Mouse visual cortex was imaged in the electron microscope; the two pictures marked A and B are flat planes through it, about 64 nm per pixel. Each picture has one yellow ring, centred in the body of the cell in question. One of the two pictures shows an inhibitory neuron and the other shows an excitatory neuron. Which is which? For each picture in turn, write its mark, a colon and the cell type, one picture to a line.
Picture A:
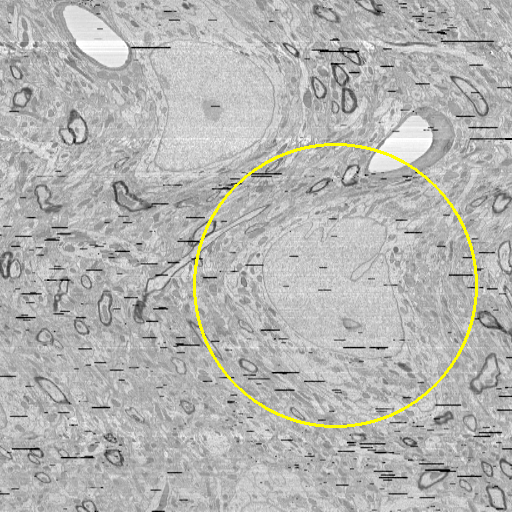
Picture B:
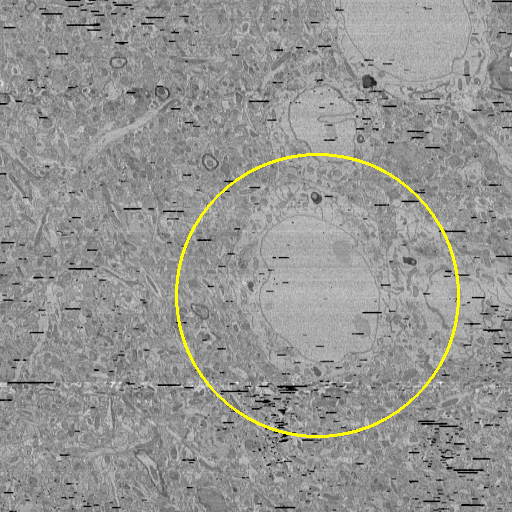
A: inhibitory neuron
B: excitatory neuron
